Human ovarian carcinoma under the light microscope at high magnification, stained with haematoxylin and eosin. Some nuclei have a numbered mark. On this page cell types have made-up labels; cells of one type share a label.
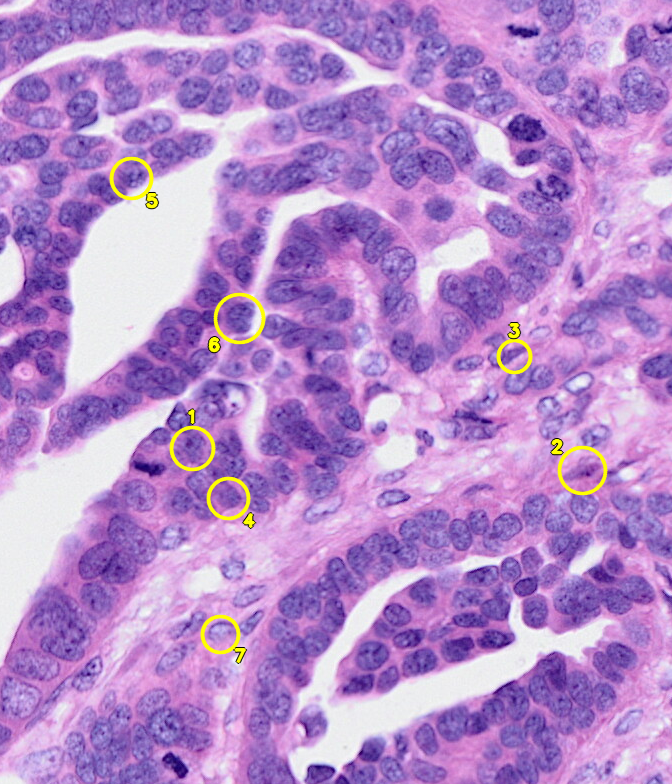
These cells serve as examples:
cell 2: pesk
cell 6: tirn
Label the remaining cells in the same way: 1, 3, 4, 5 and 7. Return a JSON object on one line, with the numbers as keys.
{"1": "tirn", "3": "pesk", "4": "tirn", "5": "tirn", "7": "pesk"}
